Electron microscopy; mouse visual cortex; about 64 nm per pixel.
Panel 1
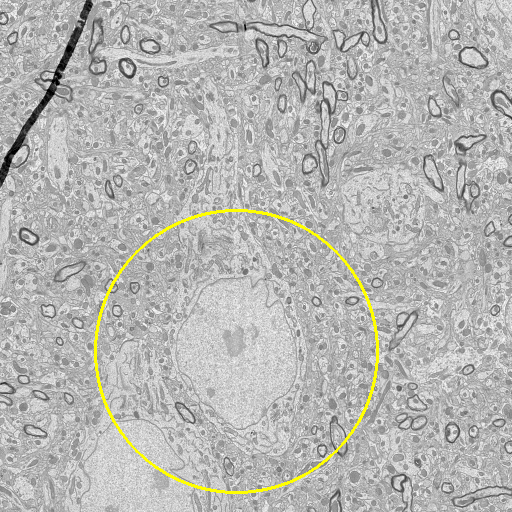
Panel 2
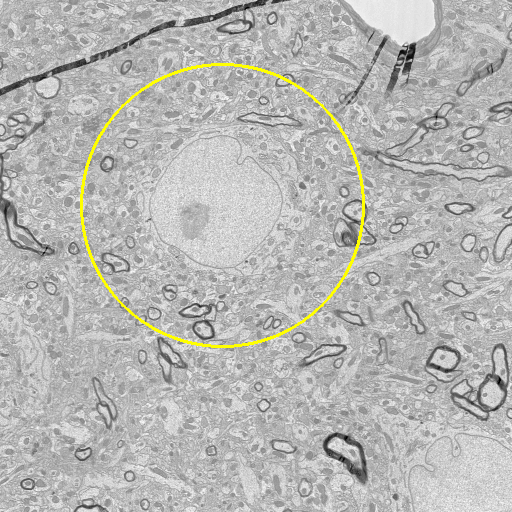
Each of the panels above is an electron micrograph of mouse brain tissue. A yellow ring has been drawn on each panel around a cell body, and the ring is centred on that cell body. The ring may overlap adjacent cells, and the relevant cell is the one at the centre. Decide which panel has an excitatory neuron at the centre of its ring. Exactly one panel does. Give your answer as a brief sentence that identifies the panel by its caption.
Panel 2 is the one with it at the centre of the ring.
